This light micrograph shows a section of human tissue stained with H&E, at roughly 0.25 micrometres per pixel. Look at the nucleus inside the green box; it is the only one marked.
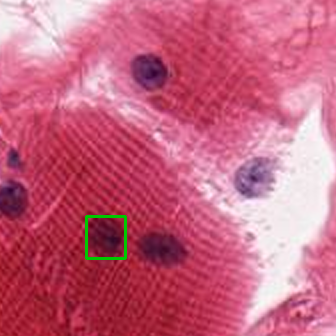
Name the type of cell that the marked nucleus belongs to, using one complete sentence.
The marked nucleus is housed in a skeletal muscle fibre.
